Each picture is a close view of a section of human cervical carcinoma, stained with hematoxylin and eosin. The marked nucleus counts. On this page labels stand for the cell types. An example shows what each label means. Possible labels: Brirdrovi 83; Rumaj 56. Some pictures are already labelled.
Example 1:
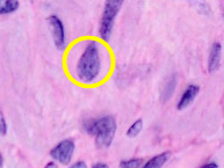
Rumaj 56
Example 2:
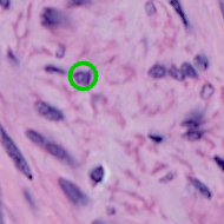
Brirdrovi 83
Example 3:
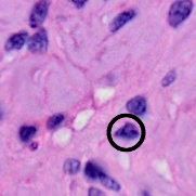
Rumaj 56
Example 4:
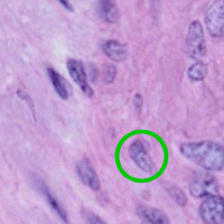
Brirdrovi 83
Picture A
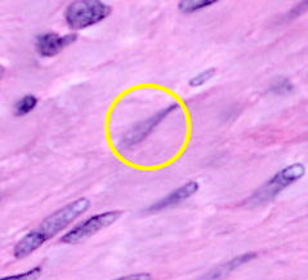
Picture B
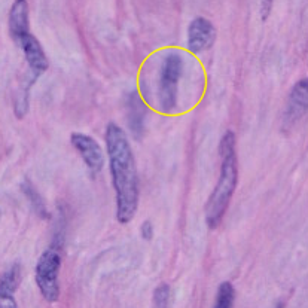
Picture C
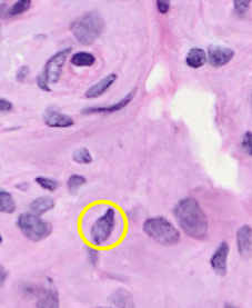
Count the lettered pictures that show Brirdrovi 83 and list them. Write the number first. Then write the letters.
1, namely B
